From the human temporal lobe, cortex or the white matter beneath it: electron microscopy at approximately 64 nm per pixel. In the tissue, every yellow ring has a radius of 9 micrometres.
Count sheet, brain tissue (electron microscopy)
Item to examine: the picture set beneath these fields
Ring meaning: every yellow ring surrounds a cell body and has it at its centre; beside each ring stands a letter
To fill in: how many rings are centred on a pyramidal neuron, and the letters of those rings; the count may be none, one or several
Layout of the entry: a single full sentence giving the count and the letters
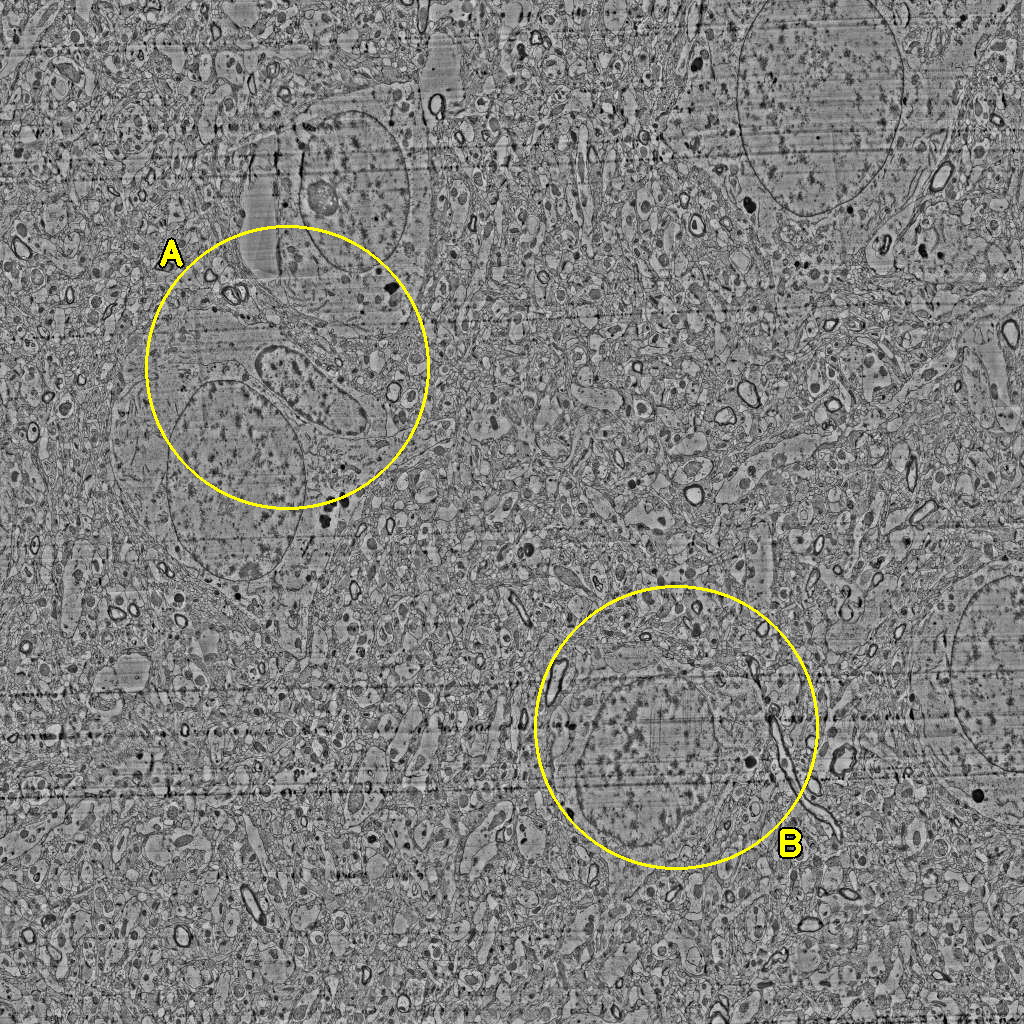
Whichever letter is chosen, its ring is not centred on a pyramidal neuron, so the count is zero.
